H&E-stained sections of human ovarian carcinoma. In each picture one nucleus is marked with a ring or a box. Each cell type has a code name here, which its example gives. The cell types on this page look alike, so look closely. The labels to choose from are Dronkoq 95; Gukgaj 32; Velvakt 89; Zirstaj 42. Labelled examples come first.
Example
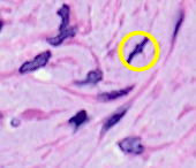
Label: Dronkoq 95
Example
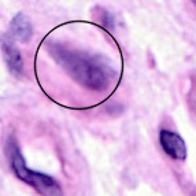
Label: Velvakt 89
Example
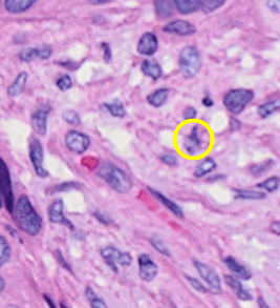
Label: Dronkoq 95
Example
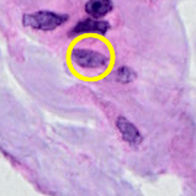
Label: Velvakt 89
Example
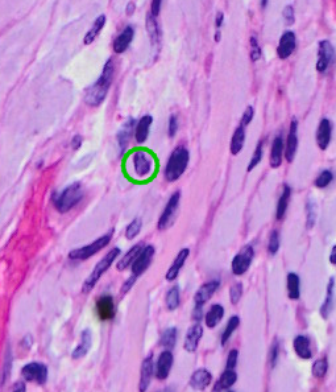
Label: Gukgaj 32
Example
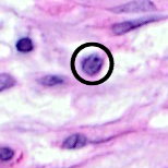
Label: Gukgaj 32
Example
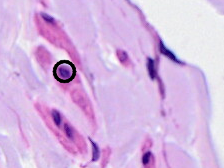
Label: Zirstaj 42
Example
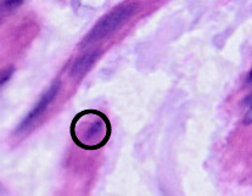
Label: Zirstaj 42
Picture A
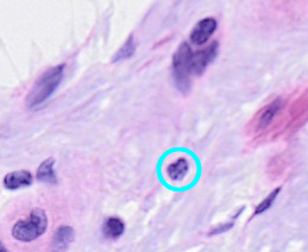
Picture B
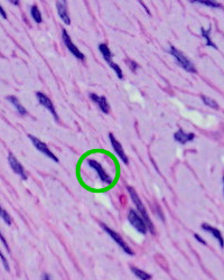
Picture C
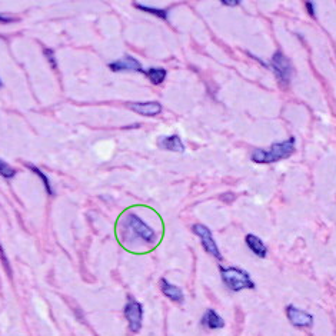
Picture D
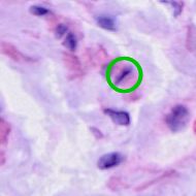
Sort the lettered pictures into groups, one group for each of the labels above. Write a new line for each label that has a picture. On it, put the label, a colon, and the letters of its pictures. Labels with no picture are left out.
Dronkoq 95: B, C
Gukgaj 32: A
Zirstaj 42: D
